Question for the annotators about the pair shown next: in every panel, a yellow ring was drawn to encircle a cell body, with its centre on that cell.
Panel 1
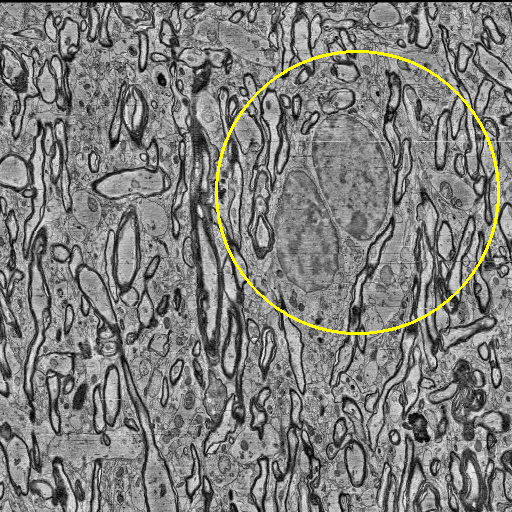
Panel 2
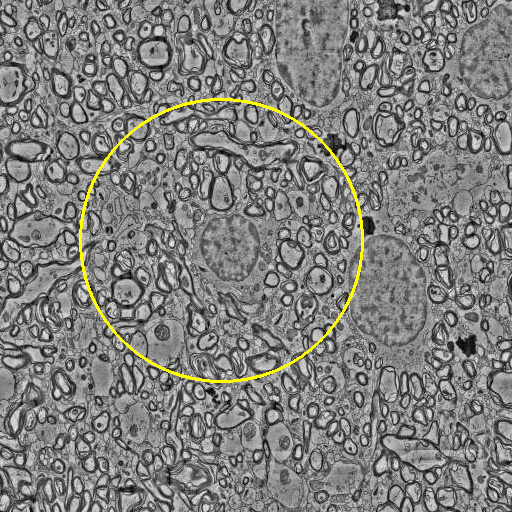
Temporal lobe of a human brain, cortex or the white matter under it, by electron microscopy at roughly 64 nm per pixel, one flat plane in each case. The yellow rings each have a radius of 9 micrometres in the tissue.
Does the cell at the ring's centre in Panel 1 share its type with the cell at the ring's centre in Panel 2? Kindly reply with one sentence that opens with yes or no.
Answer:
No, in Panels 1 and 2 the cells at the ring centres belong to separate types.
